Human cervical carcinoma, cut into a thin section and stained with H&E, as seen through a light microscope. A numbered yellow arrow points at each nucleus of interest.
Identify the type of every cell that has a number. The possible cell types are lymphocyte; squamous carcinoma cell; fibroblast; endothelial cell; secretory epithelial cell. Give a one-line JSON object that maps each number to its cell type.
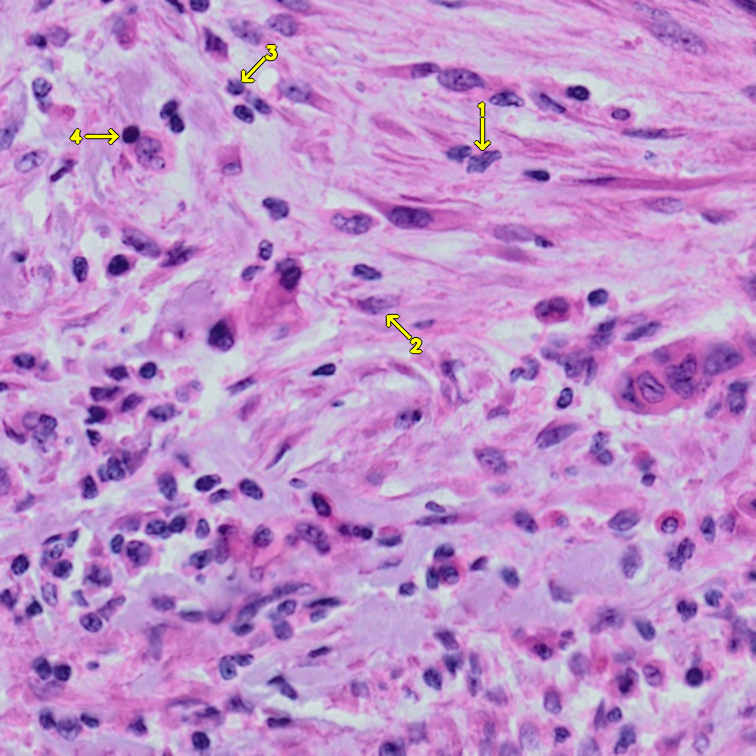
{"1": "lymphocyte", "2": "fibroblast", "3": "lymphocyte", "4": "lymphocyte"}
